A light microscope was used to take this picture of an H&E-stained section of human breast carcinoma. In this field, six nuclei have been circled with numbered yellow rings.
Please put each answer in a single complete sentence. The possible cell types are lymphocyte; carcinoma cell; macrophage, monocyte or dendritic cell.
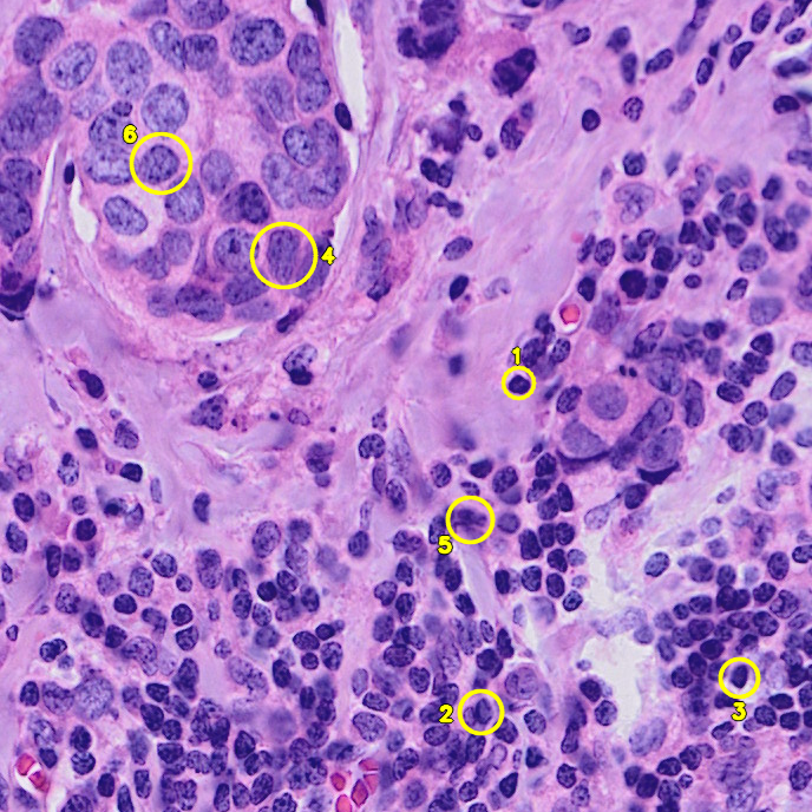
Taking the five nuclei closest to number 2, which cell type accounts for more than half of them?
Lymphocytes account for more than half of the five nuclei nearest to number 2.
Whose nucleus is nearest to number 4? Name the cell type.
The nucleus nearest to number 4 is that of a carcinoma cell.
